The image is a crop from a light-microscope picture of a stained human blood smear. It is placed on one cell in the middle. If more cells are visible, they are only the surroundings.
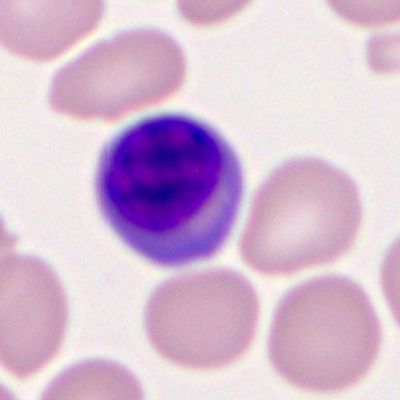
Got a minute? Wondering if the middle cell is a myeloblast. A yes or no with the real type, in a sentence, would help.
No, mark the middle cell as an erythroblast, not a myeloblast.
